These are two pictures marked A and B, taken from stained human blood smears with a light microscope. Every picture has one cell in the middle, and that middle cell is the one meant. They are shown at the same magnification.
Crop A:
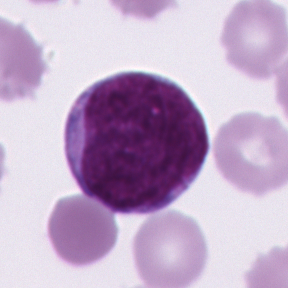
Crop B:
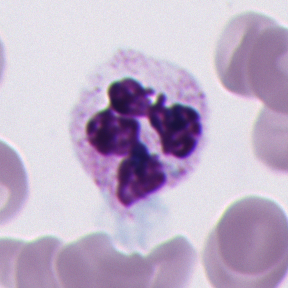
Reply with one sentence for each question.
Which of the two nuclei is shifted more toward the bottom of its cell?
Seen within its cell, the nucleus in crop B lies further toward the bottom.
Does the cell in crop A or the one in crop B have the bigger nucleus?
Crop A shows the larger nucleus; it covers about 2 times the area of the nucleus in crop B.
